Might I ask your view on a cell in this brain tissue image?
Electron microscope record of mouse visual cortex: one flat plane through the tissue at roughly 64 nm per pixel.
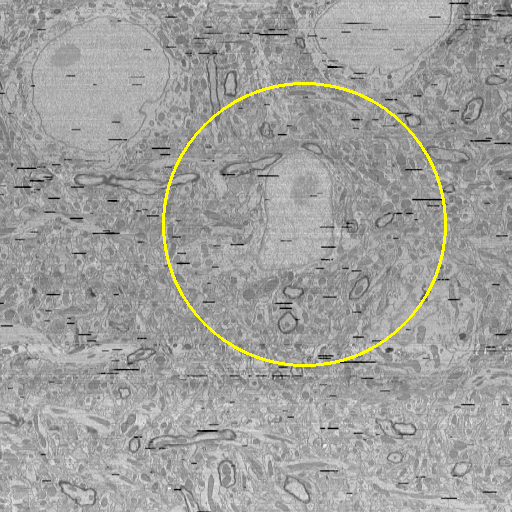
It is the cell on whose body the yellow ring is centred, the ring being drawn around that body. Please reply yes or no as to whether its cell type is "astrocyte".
yes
